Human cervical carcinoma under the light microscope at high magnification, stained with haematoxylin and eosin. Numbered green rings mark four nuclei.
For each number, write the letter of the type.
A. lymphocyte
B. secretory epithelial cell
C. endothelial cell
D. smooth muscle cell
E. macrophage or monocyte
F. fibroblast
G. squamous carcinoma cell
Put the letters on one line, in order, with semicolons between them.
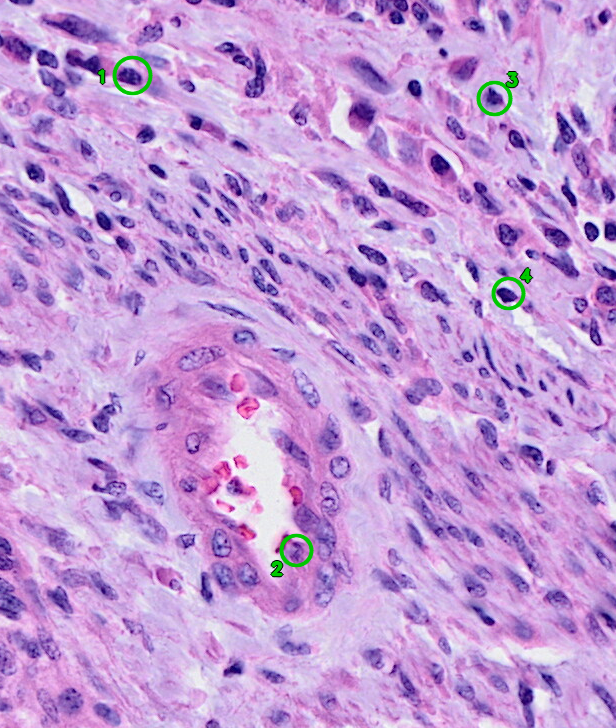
A; C; A; A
